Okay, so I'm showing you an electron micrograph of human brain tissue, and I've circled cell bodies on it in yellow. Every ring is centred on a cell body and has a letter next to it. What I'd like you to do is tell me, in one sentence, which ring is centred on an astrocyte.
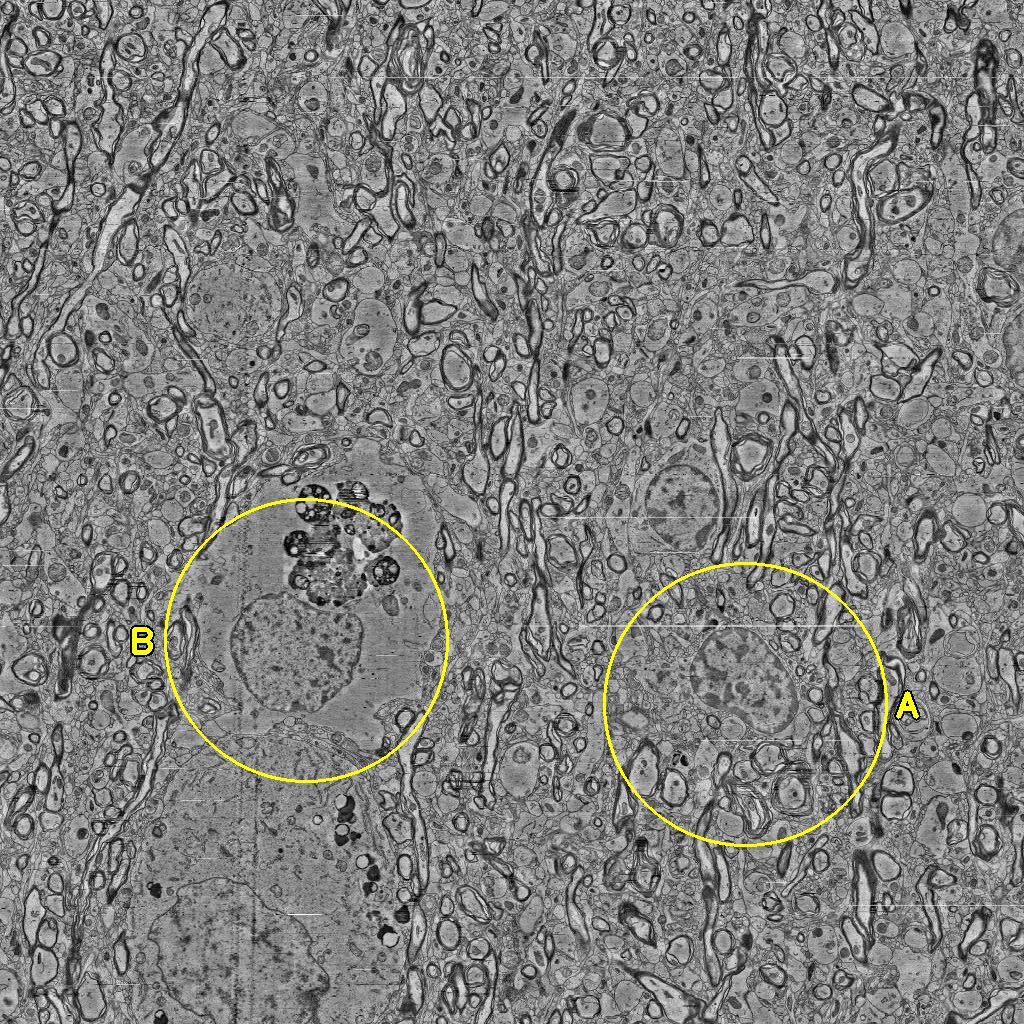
It's ring B.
